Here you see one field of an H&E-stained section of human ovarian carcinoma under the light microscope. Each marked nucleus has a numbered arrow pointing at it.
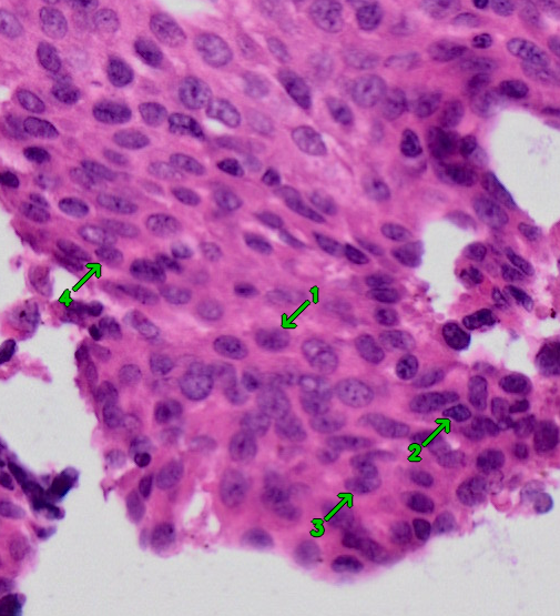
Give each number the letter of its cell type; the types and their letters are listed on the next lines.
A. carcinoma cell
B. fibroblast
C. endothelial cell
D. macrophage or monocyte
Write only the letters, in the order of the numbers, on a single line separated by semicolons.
A; D; A; A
